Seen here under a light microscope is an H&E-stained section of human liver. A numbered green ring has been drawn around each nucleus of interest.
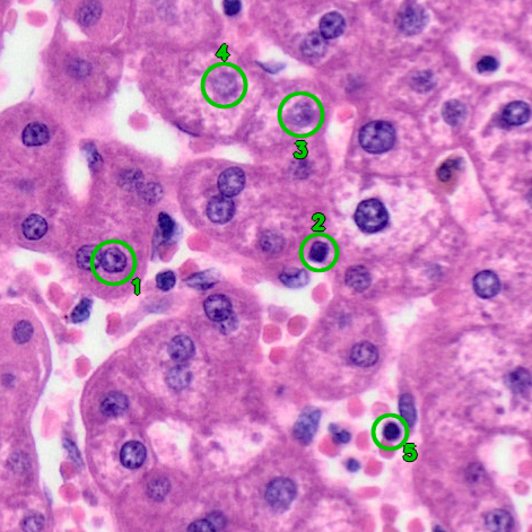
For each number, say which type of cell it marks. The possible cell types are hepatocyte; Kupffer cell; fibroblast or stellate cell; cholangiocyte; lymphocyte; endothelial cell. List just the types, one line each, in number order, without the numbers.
hepatocyte
fibroblast or stellate cell
hepatocyte
hepatocyte
lymphocyte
